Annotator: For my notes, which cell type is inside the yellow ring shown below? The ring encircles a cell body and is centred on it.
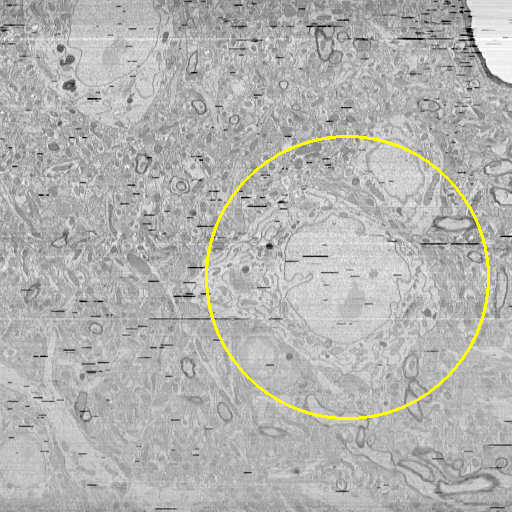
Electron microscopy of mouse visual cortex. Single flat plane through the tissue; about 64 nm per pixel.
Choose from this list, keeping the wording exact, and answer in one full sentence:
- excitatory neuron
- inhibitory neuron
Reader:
At the centre of the yellow ring there is an inhibitory neuron, as shown in the picture.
